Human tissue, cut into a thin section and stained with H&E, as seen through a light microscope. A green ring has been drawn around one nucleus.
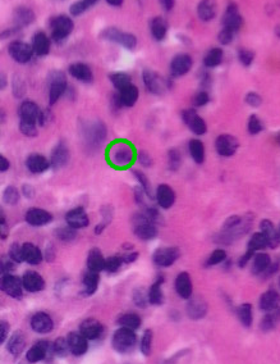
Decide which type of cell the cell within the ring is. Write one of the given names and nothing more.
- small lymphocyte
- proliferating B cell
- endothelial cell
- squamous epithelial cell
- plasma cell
endothelial cell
